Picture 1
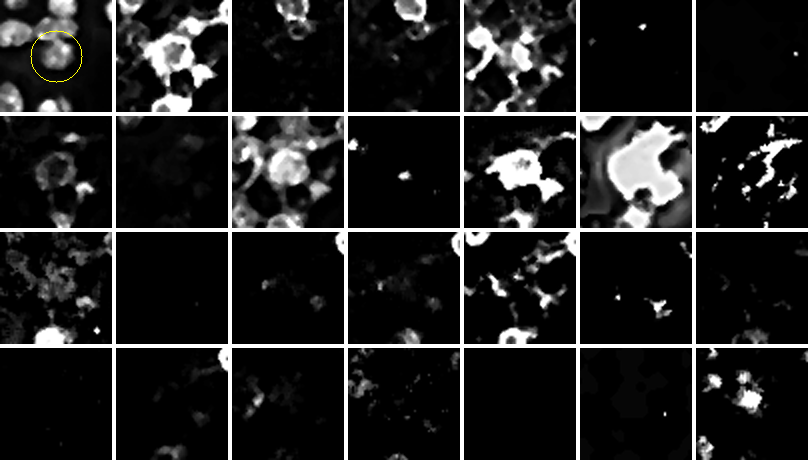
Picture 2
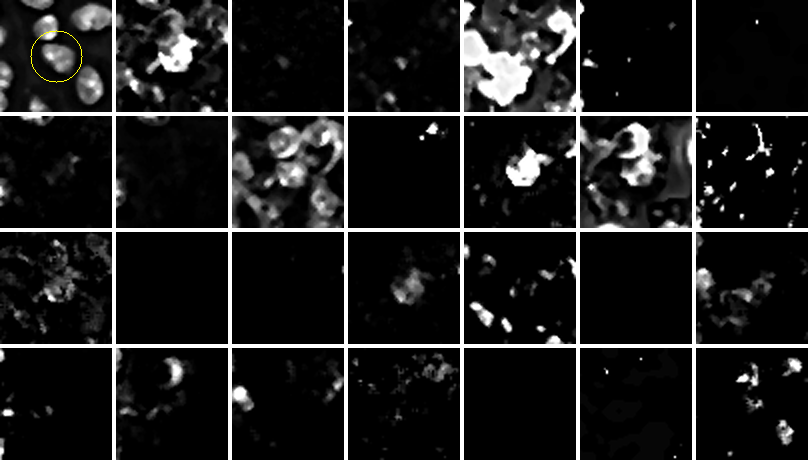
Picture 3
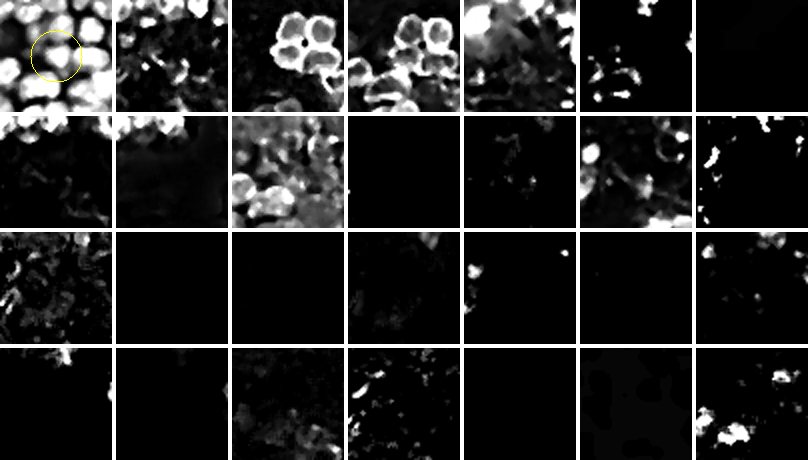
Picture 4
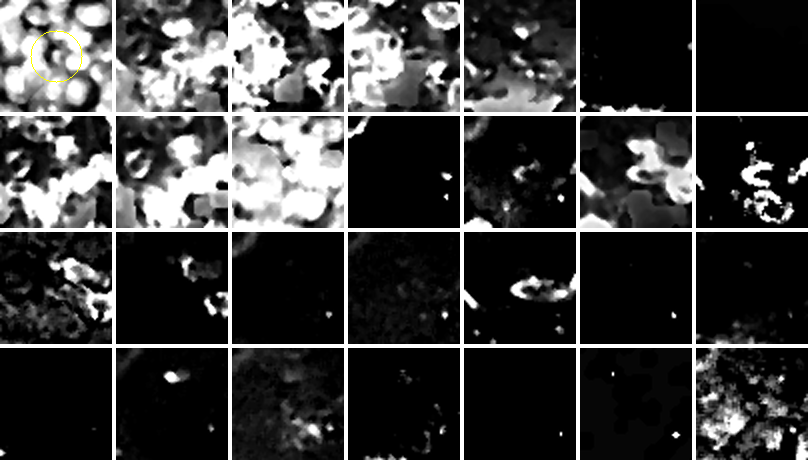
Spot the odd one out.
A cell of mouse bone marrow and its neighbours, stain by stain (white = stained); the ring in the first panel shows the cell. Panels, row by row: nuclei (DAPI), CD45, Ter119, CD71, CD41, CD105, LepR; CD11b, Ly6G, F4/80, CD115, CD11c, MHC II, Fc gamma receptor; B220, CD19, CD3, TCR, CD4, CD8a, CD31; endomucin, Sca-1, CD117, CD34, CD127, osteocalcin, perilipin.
Picture 3 (an erythroblast among conventional dendritic cells).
